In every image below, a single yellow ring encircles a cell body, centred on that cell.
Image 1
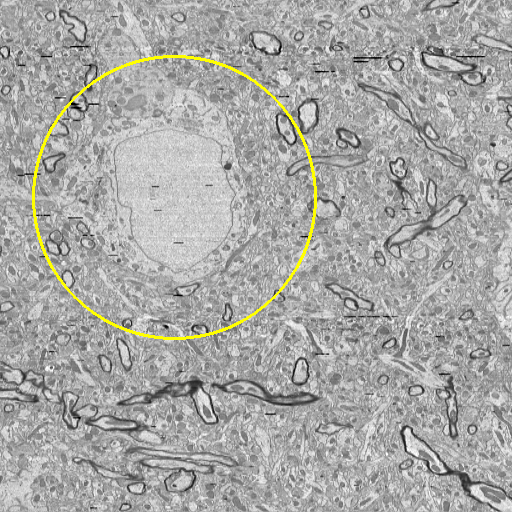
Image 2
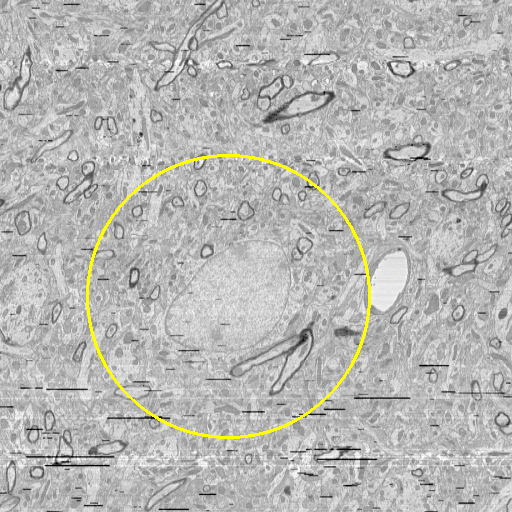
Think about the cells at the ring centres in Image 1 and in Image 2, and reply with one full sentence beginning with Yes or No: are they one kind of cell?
No, the cells centred in the rings of Image 1 and Image 2 are two kinds of cell.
